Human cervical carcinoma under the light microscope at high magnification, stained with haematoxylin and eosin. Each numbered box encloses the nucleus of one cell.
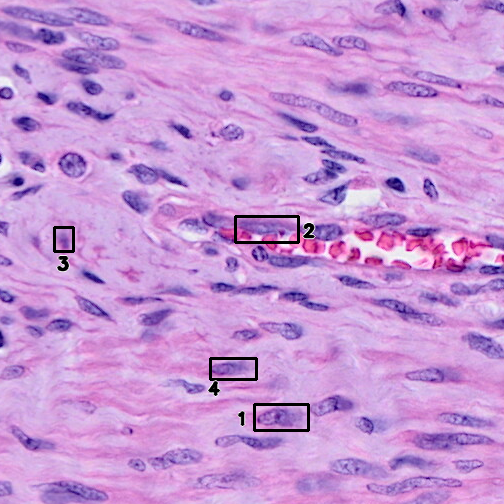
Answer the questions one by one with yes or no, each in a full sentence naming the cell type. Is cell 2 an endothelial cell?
Yes, the cell denoted by 2 is an endothelial cell.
